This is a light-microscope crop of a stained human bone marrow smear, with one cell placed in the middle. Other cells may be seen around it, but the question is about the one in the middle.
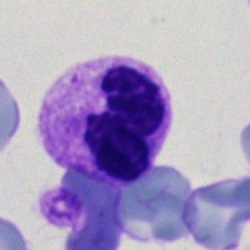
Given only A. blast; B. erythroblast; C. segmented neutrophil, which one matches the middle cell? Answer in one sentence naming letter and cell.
Option C gives the correct identity of the central cell, namely a segmented neutrophil.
